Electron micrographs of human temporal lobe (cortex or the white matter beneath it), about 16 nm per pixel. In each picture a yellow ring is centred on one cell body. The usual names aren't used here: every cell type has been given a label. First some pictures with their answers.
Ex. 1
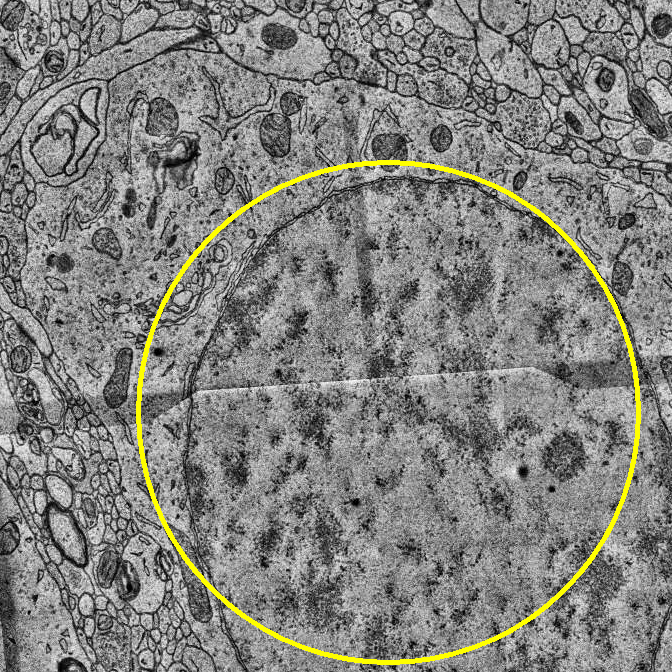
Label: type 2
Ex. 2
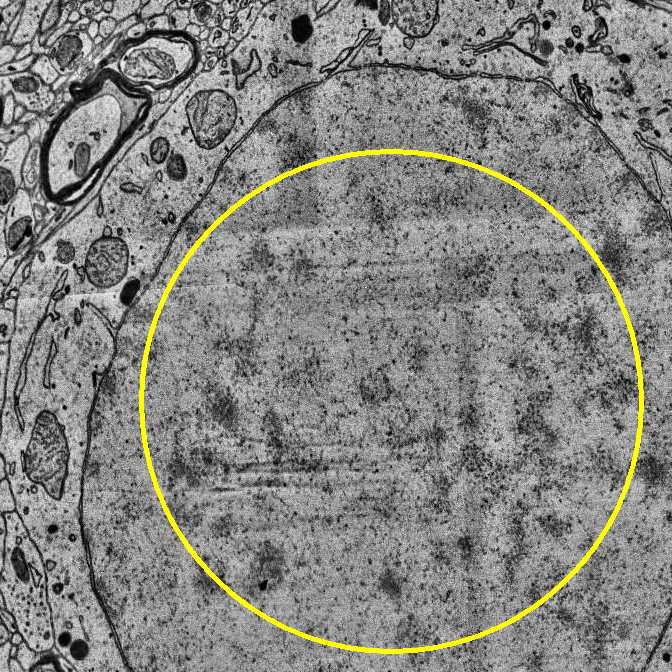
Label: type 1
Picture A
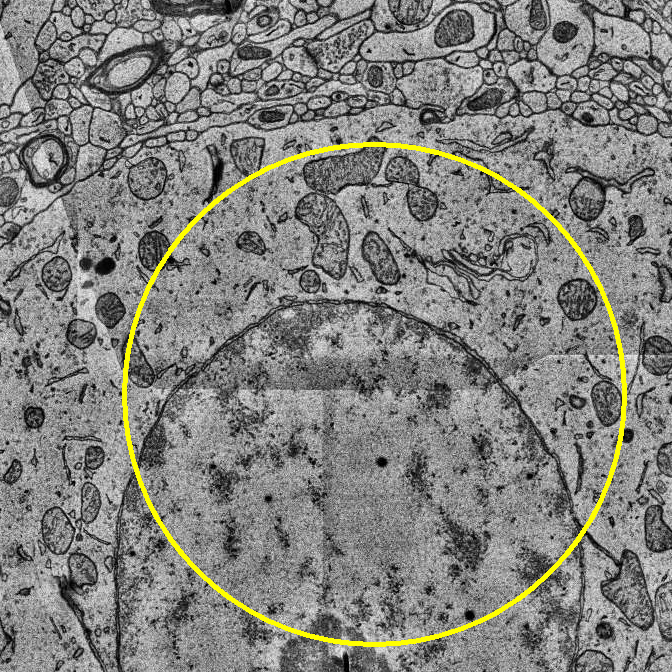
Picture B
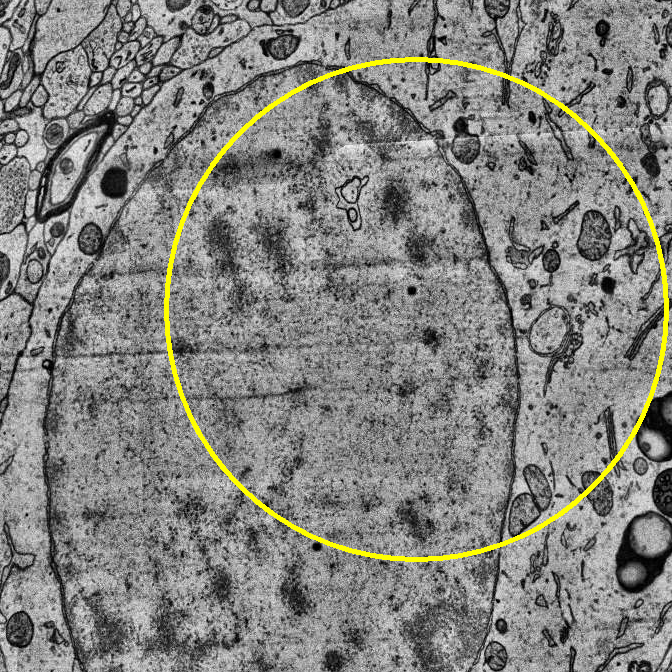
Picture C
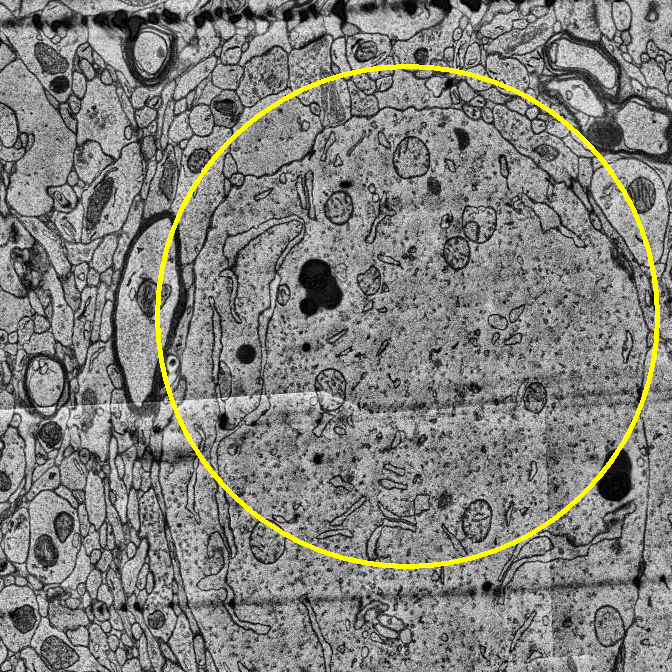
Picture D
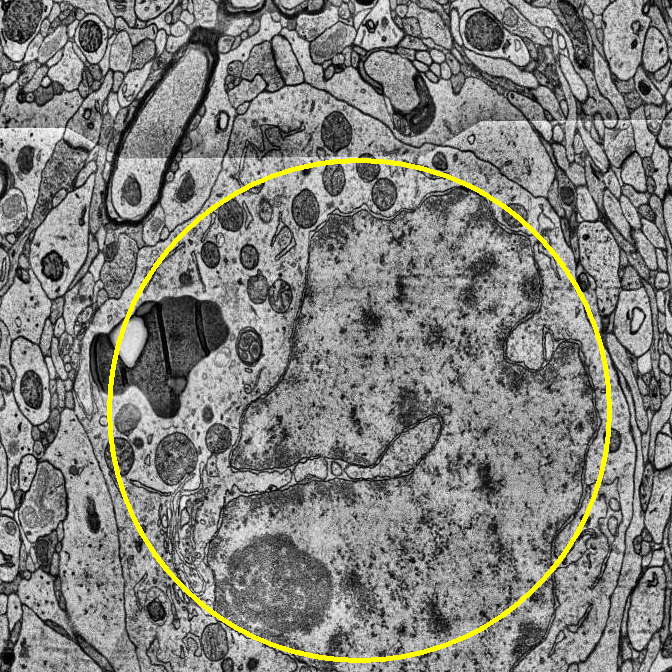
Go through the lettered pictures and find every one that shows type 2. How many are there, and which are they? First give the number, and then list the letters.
2, namely A, D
